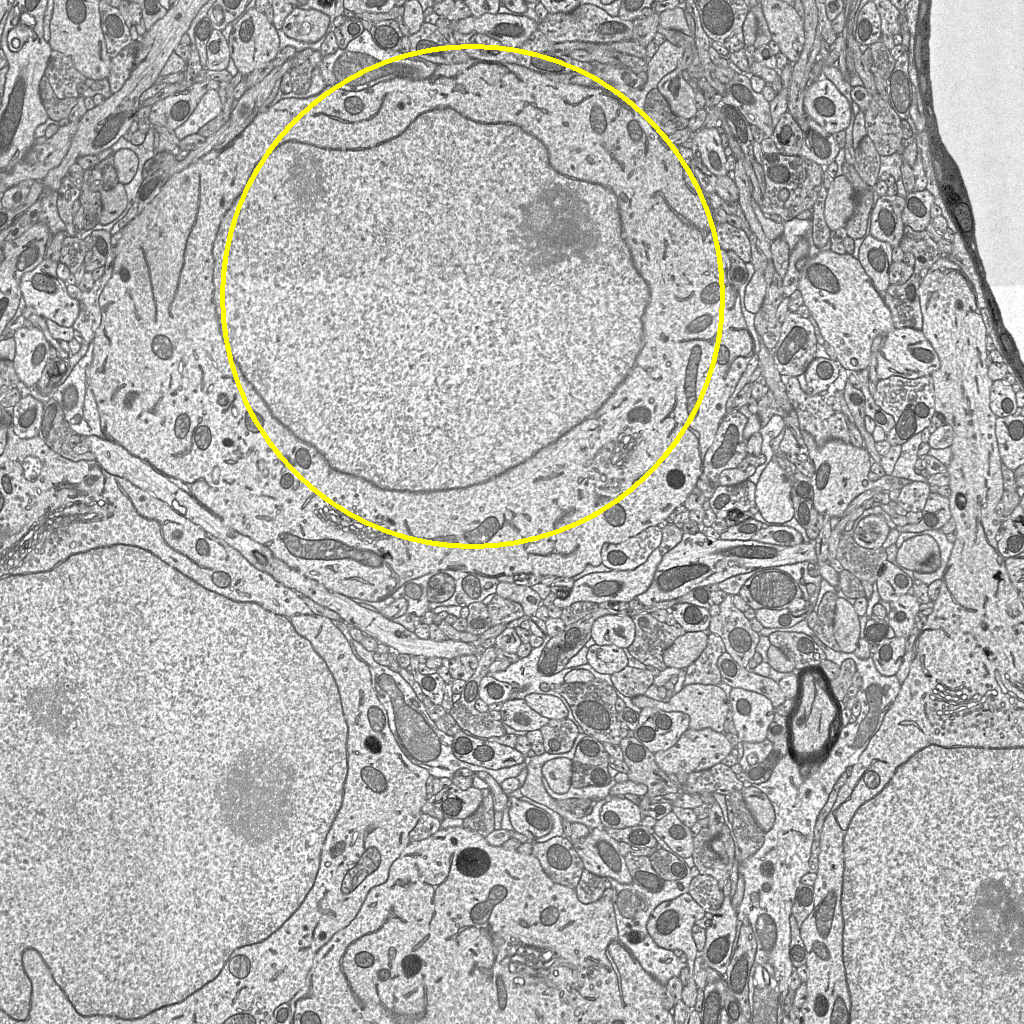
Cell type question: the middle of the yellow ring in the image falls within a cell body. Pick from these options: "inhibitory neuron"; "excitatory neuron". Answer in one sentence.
The cell body at the center of the ring belongs to an excitatory neuron.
